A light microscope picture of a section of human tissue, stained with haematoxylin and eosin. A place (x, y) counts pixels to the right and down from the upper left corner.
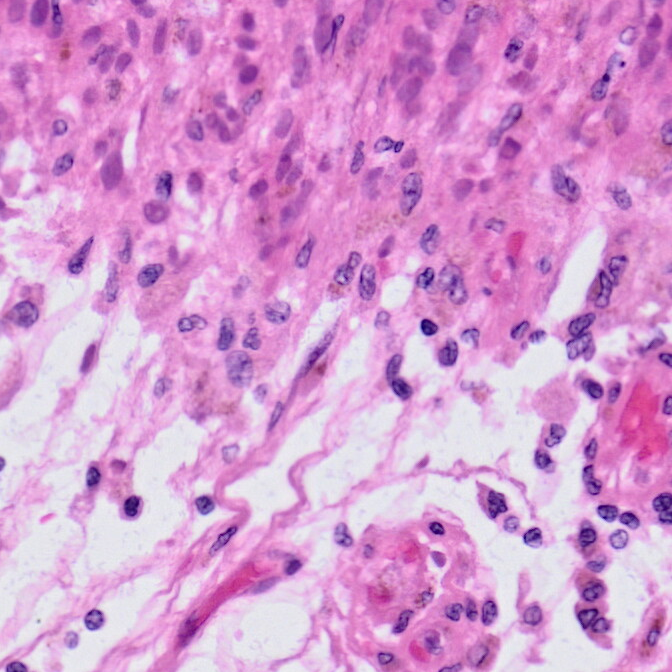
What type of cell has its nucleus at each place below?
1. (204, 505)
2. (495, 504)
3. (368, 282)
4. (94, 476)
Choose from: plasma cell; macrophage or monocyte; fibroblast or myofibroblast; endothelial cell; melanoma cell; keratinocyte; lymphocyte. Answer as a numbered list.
1. lymphocyte
2. macrophage or monocyte
3. macrophage or monocyte
4. macrophage or monocyte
